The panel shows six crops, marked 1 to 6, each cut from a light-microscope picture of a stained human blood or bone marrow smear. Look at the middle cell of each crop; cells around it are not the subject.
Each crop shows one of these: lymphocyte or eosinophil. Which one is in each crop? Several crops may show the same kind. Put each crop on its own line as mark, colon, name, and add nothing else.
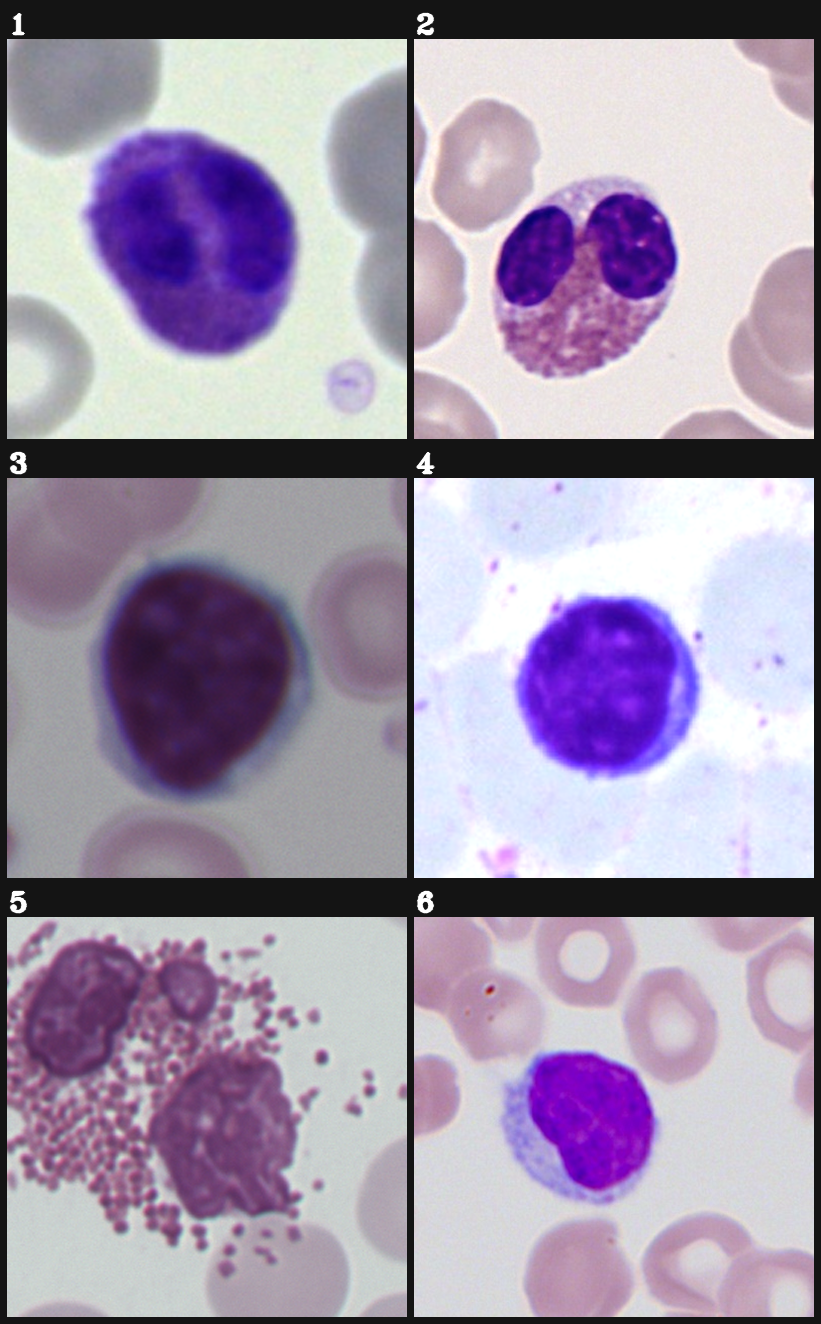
1: eosinophil
2: eosinophil
3: lymphocyte
4: lymphocyte
5: eosinophil
6: lymphocyte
